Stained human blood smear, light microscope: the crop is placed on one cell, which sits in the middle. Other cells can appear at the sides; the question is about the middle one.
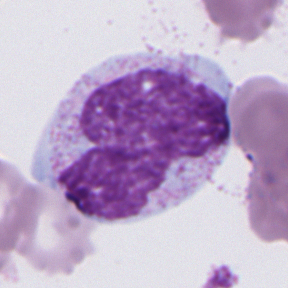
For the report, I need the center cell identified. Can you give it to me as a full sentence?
At the crop's centre, the cell is a band neutrophil.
